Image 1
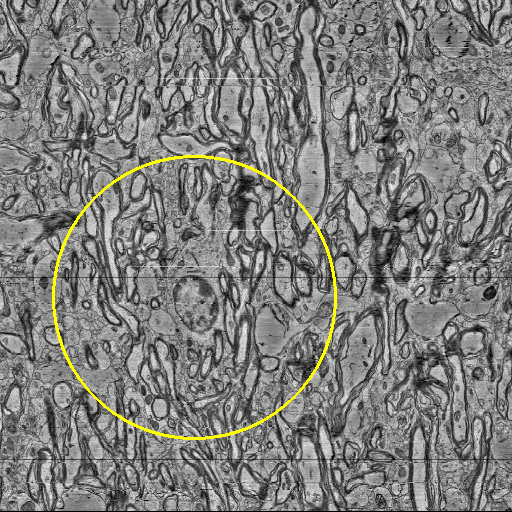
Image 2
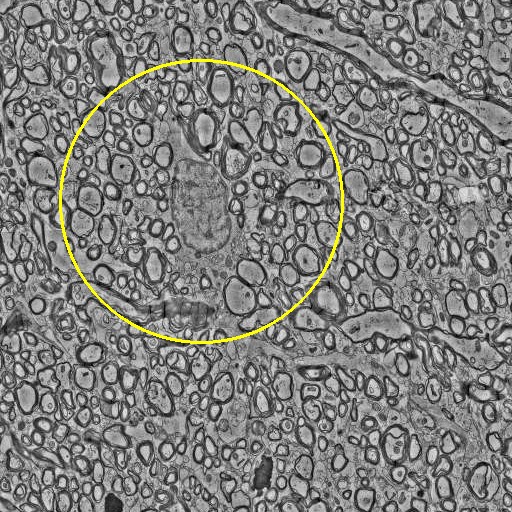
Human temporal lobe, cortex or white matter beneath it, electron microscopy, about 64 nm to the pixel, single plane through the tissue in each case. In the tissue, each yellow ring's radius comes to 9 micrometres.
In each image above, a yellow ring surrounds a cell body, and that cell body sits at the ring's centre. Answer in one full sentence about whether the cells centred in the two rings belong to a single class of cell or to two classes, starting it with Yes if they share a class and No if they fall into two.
No, the cells centred in the two yellow rings belong to two classes of cell.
